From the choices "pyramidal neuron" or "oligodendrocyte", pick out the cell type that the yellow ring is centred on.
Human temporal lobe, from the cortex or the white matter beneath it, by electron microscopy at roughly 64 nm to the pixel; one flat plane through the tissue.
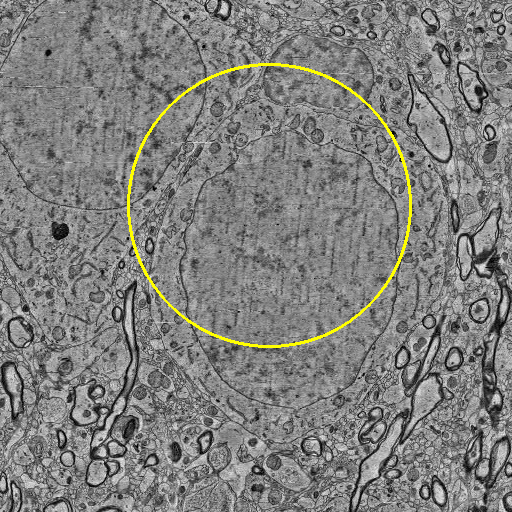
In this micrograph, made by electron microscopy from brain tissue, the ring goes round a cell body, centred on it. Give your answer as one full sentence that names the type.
The yellow ring is centred on a pyramidal neuron, whose cell body it encircles in the picture.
